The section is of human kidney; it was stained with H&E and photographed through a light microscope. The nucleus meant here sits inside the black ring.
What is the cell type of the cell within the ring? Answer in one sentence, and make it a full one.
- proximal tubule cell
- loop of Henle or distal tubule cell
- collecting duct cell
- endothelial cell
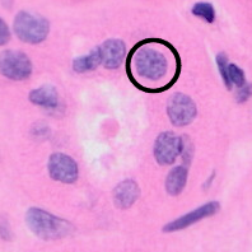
Microscopically, the cell within the ring is categorized as a loop of Henle or distal tubule cell.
